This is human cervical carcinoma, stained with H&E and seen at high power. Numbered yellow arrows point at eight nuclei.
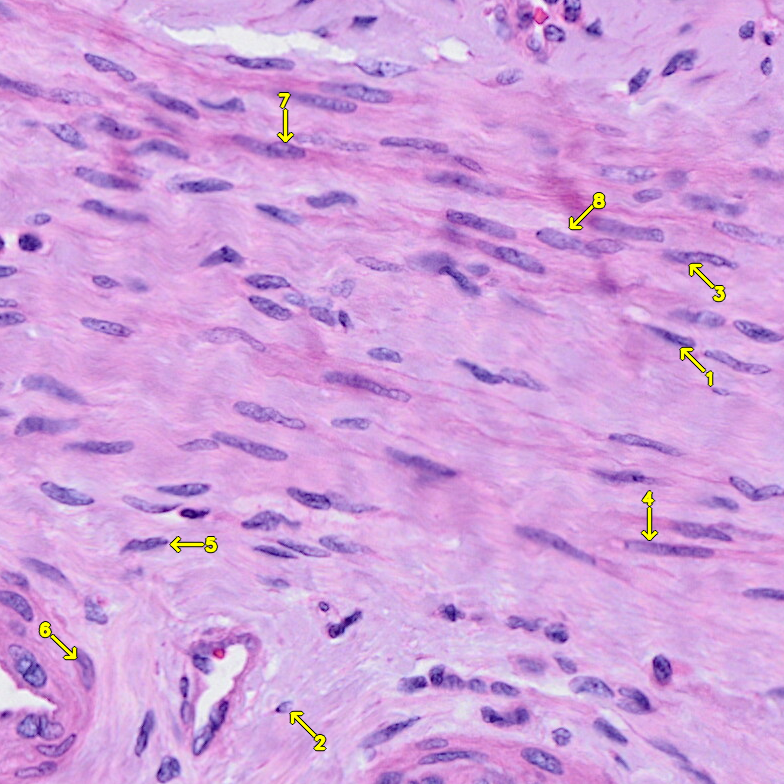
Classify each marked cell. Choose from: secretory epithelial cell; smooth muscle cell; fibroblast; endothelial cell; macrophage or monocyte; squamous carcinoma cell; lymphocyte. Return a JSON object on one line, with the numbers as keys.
{"1": "fibroblast", "2": "fibroblast", "3": "smooth muscle cell", "4": "smooth muscle cell", "5": "fibroblast", "6": "smooth muscle cell", "7": "smooth muscle cell", "8": "smooth muscle cell"}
